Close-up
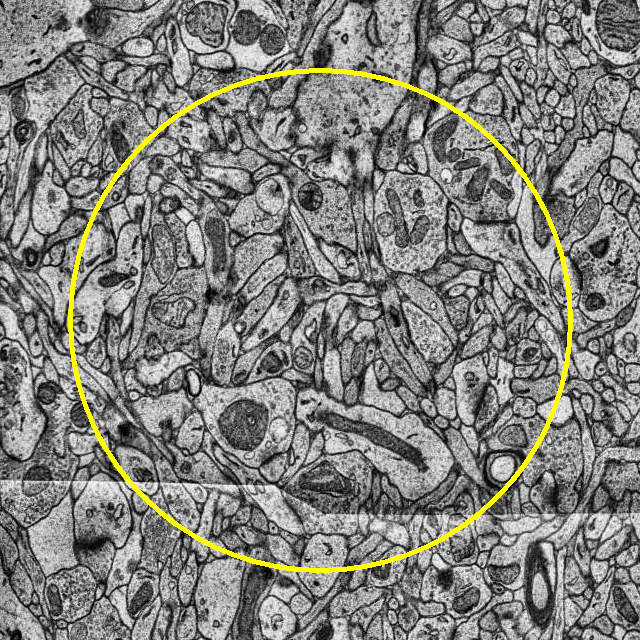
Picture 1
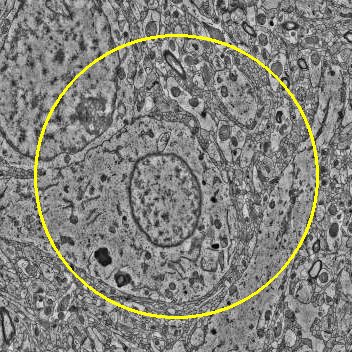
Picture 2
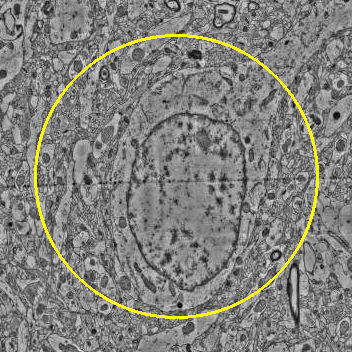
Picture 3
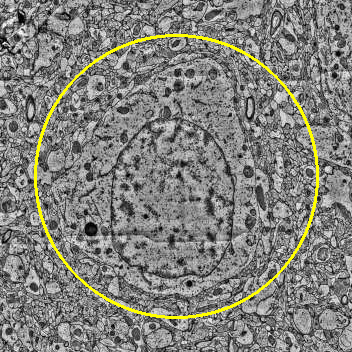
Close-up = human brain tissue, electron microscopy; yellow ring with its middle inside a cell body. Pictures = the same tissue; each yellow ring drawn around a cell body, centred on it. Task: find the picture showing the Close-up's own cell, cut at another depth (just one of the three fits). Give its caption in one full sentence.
The enlarged cell is the same one ringed in Picture 3.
